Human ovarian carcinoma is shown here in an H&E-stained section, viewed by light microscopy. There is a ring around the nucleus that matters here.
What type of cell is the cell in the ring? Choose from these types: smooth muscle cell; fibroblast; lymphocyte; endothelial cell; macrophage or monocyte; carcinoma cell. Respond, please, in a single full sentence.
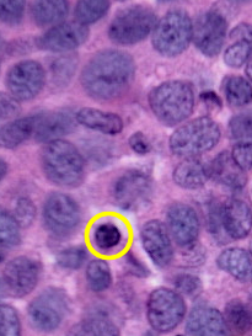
Cell type answer for this item: the cell in the ring is a lymphocyte.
